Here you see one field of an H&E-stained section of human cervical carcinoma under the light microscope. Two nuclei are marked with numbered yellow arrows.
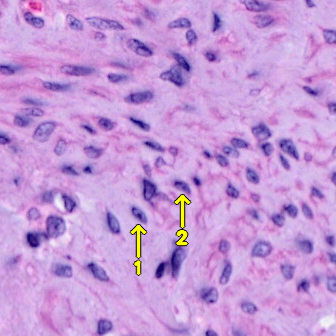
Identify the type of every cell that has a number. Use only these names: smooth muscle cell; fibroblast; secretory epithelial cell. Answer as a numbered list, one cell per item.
1. fibroblast
2. smooth muscle cell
